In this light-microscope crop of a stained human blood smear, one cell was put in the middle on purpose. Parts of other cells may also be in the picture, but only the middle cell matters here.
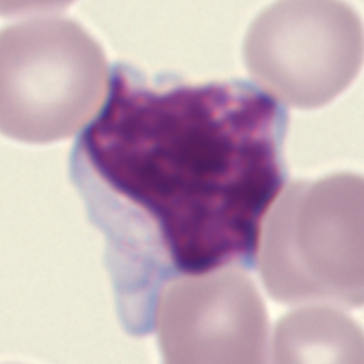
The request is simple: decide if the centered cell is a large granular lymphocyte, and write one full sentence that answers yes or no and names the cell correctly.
Yes, the cell shown at the crop's centre is a large granular lymphocyte.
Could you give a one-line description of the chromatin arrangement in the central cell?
The chromatin of this one is coarsely clumped.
